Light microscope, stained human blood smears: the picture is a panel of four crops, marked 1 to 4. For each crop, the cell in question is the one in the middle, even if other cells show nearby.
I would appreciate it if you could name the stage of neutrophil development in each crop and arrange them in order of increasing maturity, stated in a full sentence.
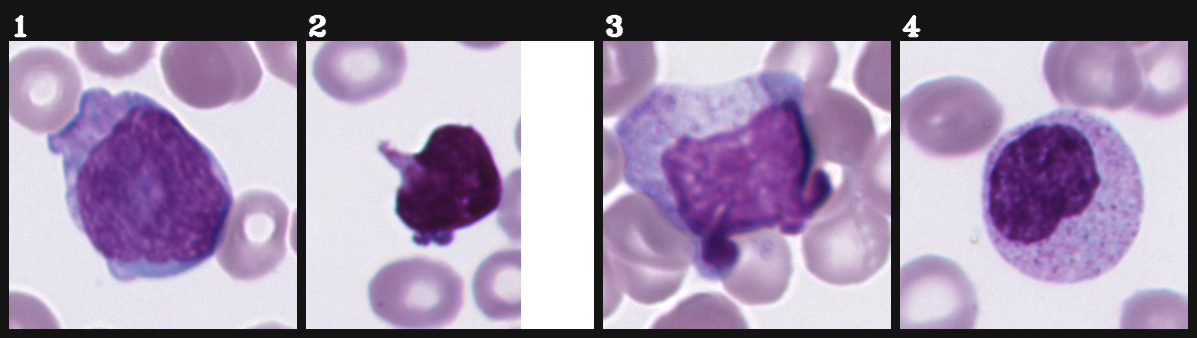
Maturity order, least to most: crop 2 (a myeloblast), crop 1 (a promyelocyte), crop 3 (a myelocyte) and crop 4 (a metamyelocyte).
